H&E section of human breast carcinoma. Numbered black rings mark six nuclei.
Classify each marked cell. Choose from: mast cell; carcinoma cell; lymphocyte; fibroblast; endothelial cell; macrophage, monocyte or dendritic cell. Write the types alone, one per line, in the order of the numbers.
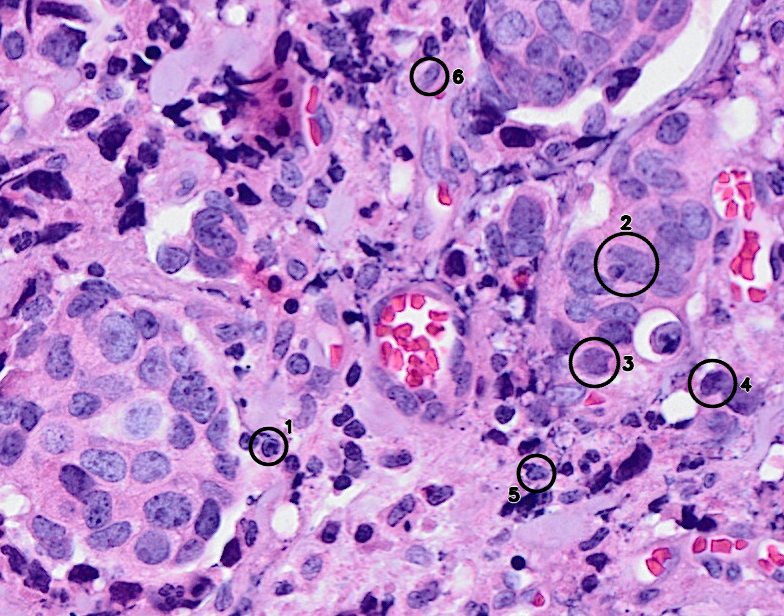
lymphocyte
carcinoma cell
carcinoma cell
carcinoma cell
lymphocyte
endothelial cell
